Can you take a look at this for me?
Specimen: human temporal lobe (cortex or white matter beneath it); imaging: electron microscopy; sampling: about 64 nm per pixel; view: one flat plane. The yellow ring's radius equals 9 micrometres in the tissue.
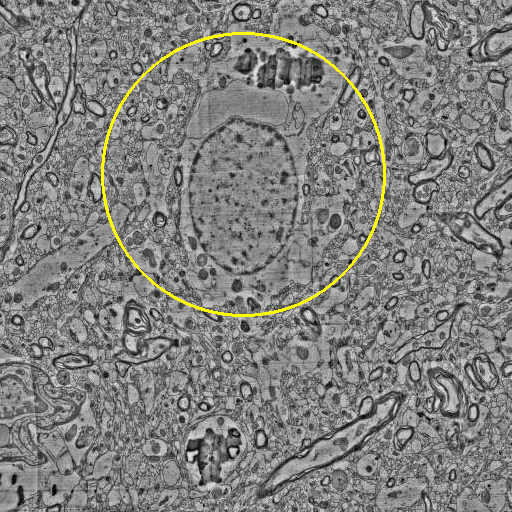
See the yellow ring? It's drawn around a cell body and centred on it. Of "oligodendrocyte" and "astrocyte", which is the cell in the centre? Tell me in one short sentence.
The one in the centre is an astrocyte.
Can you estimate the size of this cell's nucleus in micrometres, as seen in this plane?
About 10 by 7 micrometres in this plane.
